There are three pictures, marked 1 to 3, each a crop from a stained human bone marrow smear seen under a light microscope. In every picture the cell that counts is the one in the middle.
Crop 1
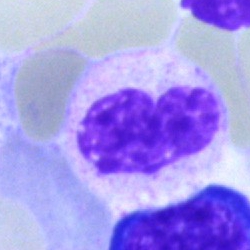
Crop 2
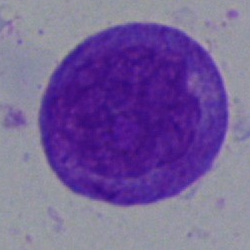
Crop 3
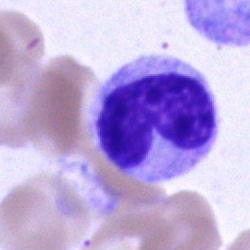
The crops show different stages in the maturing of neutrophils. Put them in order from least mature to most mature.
2, 3, 1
